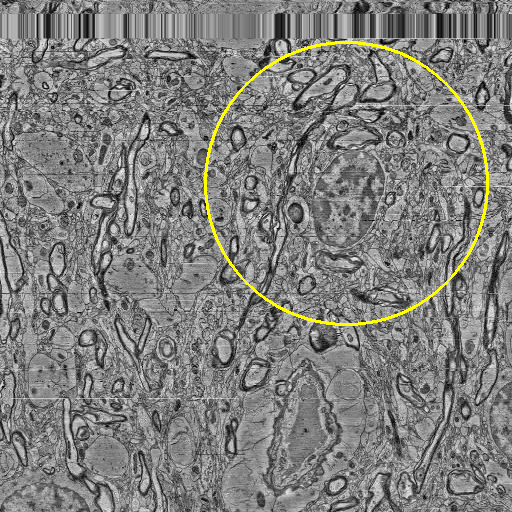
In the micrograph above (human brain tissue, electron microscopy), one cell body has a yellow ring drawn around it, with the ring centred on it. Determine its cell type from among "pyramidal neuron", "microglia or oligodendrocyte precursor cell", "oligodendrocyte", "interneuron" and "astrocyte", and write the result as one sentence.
The cell whose body is ringed is a microglial cell or oligodendrocyte precursor cell.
